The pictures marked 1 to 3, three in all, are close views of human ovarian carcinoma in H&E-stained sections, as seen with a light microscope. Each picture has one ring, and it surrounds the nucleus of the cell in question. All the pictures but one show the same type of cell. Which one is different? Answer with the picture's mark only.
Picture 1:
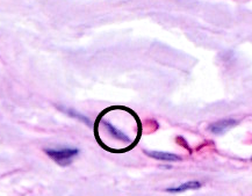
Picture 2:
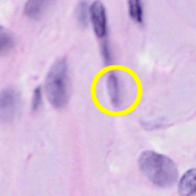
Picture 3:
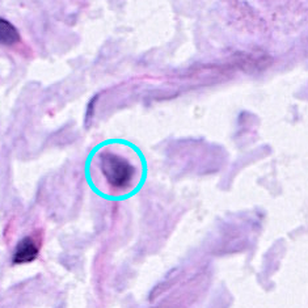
1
